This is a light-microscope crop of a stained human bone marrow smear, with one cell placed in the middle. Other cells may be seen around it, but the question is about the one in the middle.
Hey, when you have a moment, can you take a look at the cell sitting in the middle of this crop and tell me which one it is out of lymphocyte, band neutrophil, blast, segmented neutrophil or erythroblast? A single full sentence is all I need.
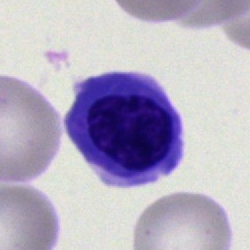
The cell occupying the middle of the crop is an erythroblast.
